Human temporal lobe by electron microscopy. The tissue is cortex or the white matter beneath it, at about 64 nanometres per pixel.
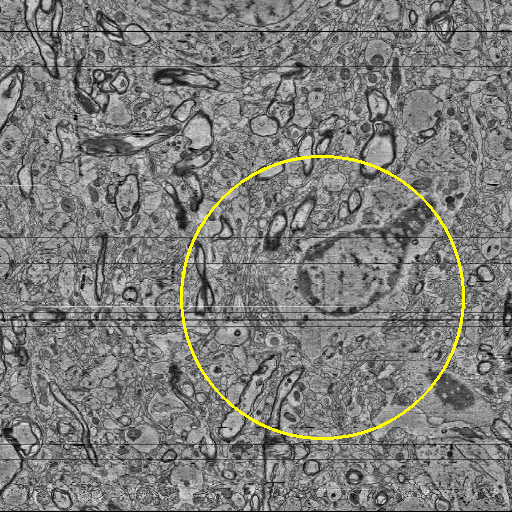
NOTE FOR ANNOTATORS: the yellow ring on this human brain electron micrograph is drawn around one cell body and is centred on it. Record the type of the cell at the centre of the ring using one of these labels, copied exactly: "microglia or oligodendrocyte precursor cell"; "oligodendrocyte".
microglia or oligodendrocyte precursor cell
